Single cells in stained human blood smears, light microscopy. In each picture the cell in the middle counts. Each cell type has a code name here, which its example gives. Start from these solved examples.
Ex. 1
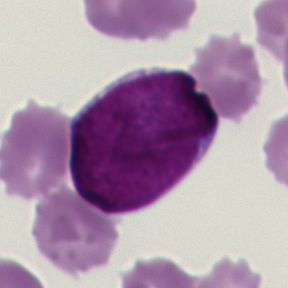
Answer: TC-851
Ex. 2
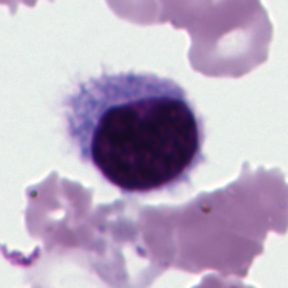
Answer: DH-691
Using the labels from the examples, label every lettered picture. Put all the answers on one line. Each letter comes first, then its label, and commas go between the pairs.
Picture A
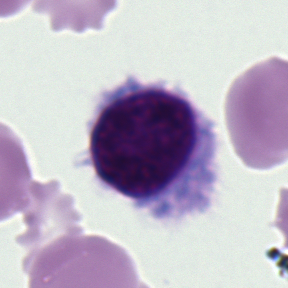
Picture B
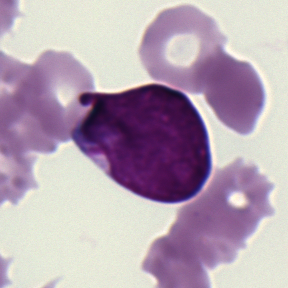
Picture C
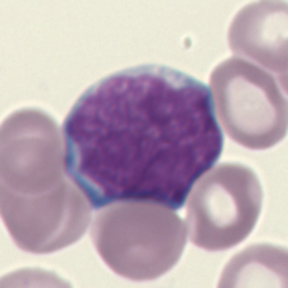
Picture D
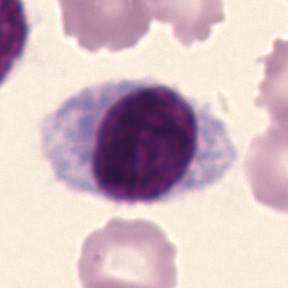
A DH-691, B TC-851, C TC-851, D DH-691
